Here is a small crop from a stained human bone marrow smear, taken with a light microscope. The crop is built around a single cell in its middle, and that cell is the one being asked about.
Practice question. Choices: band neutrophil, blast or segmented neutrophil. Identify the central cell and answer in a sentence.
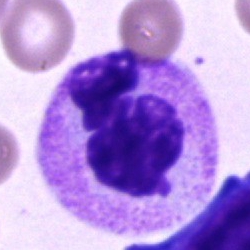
What the crop centres on is a segmented neutrophil.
